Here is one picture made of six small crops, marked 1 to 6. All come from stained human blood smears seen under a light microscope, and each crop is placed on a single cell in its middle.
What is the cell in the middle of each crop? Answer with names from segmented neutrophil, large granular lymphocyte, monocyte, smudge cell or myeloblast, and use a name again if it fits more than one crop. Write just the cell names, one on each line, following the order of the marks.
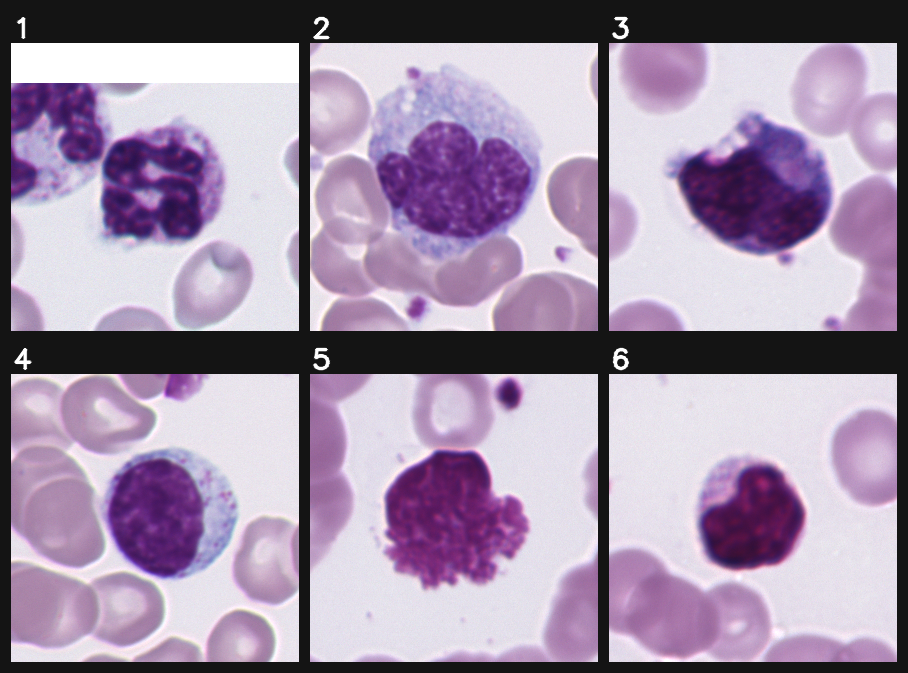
segmented neutrophil
monocyte
monocyte
large granular lymphocyte
smudge cell
large granular lymphocyte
